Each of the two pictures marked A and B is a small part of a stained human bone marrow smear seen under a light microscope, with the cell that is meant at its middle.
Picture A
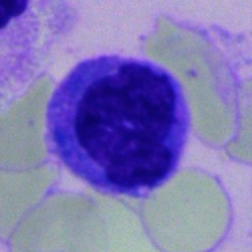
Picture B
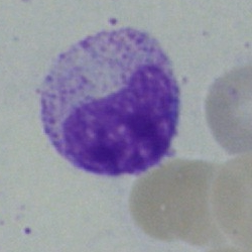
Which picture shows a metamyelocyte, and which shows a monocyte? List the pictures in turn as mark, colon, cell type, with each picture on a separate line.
A: monocyte
B: metamyelocyte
